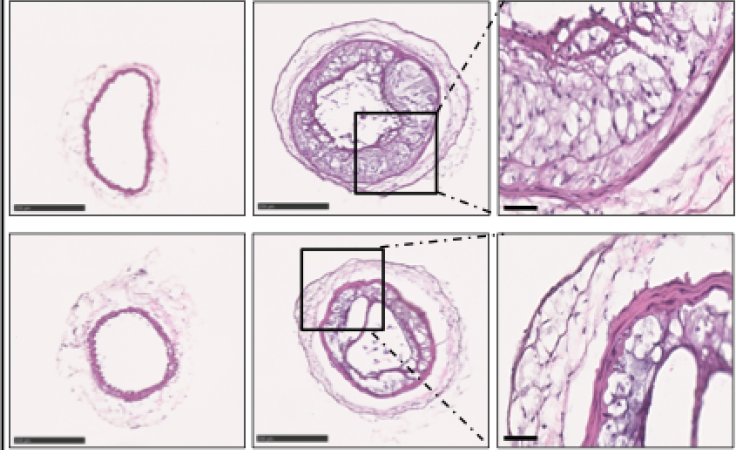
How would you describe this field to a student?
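The vessels on the left are thin-walled rings with a compact, wavy, deep pink wall around an open, empty lumen. The vessels in the middle have a much thicker wall, and their lumen is largely filled by pale, loosely textured tissue made of many rounded cells with clear, bubbly-looking cytoplasm. The enlarged views on the right show this pale, vacuolated cell mass sitting inside the dense pink band of the vessel wall, with loose pale connective tissue outside it. The filling of the lumen is more extensive in the upper middle section than in the lower one.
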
